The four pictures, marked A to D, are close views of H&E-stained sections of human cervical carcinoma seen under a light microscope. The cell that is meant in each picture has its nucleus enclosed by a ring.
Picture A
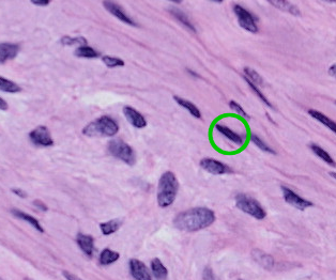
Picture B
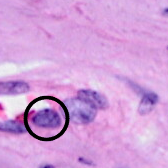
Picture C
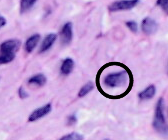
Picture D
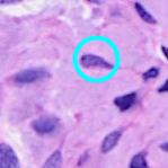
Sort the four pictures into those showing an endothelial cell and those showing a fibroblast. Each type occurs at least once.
A: fibroblast
B: endothelial cell
C: fibroblast
D: fibroblast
